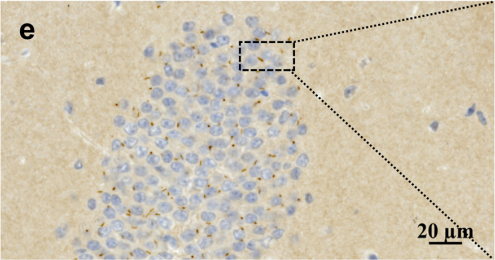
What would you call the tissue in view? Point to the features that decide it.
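Dentate gyrus. A dense band of tightly packed small round blue nuclei. The packed cell layer is surrounded by paler tissue with few scattered nuclei.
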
